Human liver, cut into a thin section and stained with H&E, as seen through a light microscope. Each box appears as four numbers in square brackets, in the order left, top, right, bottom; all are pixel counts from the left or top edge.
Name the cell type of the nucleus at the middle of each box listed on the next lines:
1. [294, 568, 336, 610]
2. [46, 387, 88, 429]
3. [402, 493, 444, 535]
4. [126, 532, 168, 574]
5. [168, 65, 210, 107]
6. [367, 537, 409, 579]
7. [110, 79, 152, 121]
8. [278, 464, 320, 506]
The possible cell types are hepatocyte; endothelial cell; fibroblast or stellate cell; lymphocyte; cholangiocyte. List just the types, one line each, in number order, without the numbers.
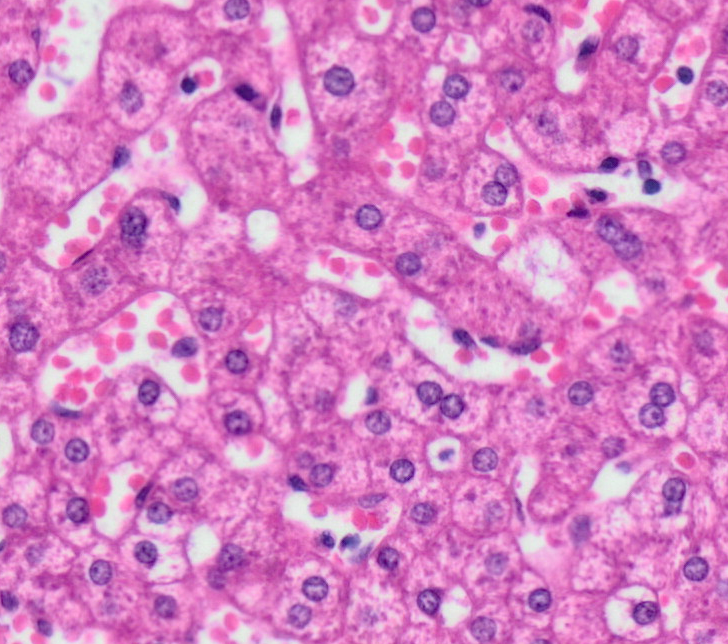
hepatocyte
endothelial cell
hepatocyte
hepatocyte
lymphocyte
hepatocyte
hepatocyte
fibroblast or stellate cell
